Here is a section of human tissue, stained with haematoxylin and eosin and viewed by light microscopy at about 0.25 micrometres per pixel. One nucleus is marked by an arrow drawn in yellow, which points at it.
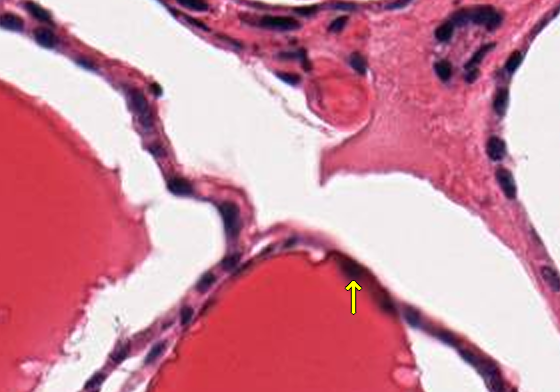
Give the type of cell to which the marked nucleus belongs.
thyroid follicular cell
